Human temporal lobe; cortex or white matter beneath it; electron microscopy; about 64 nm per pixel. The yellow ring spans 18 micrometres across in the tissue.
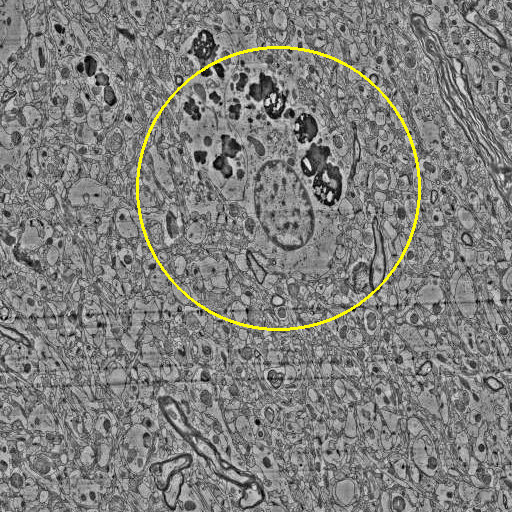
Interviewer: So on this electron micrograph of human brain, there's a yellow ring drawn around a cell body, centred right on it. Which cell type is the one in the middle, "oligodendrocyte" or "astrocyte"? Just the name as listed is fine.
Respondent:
astrocyte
